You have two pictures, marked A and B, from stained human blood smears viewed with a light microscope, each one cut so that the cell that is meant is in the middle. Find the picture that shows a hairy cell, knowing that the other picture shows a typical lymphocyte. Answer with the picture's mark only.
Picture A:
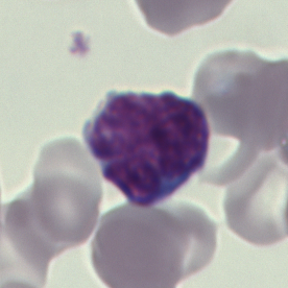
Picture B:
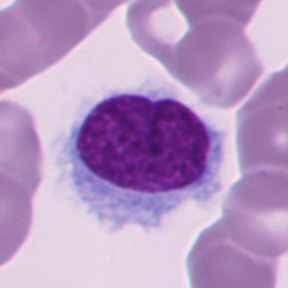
B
